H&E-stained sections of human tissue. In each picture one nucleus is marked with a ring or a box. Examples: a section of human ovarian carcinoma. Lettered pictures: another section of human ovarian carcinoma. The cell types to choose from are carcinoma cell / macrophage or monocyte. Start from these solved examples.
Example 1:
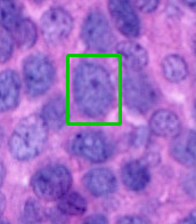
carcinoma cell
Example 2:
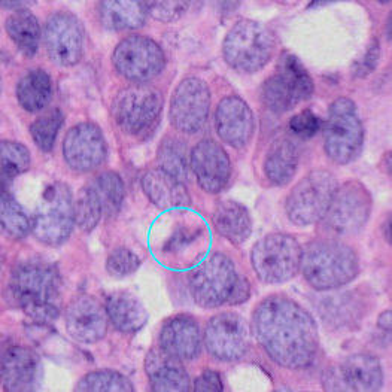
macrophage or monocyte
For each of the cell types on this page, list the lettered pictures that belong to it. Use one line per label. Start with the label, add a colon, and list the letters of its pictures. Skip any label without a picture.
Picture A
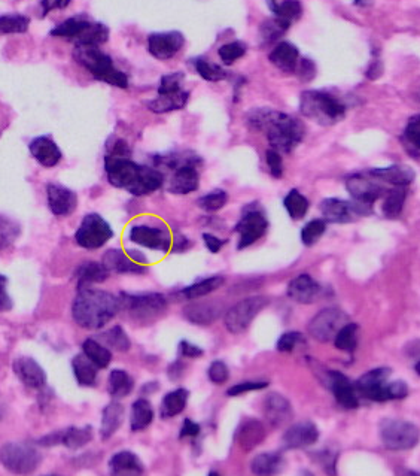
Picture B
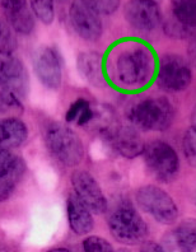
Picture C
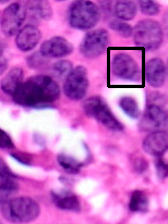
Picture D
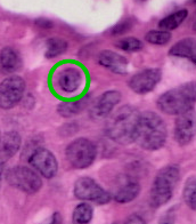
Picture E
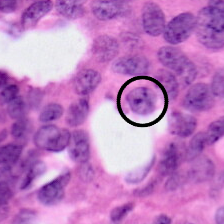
carcinoma cell: A, B, C
macrophage or monocyte: D, E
